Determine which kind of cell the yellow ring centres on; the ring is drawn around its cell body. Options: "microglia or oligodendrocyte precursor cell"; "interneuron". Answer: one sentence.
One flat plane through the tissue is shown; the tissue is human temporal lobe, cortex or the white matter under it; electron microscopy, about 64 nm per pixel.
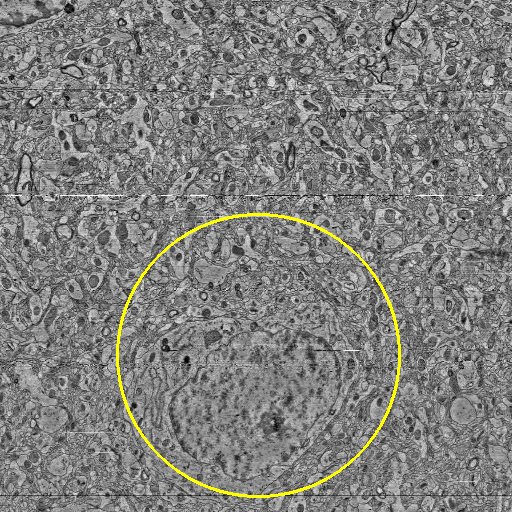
The ring centres on an interneuron.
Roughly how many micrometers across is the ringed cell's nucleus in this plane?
In this plane, approximately 11 by 9 micrometers.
